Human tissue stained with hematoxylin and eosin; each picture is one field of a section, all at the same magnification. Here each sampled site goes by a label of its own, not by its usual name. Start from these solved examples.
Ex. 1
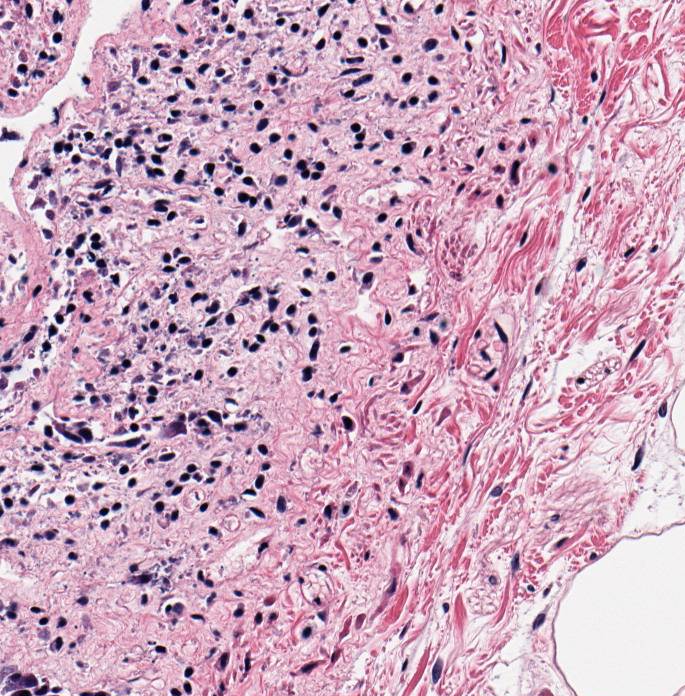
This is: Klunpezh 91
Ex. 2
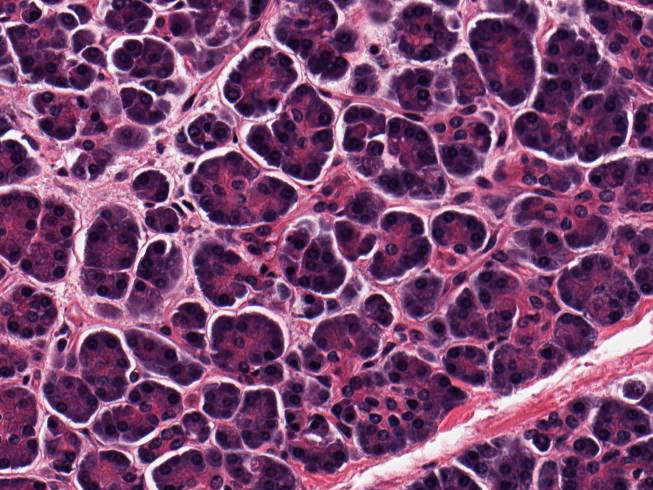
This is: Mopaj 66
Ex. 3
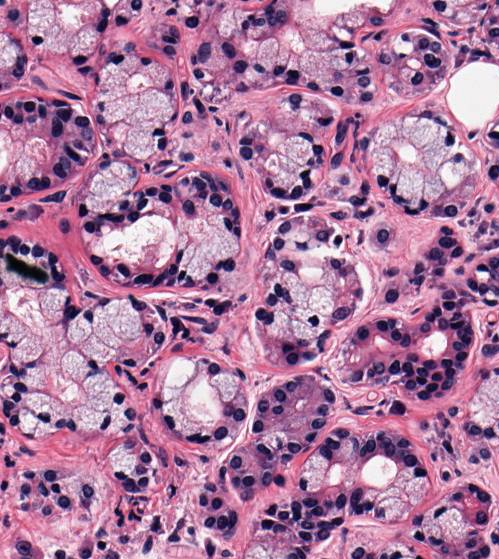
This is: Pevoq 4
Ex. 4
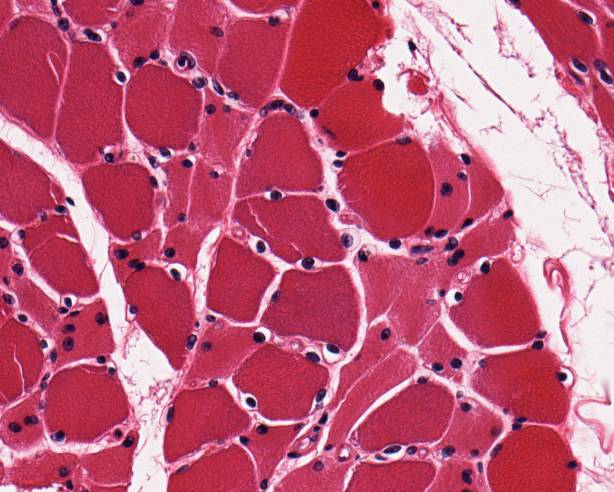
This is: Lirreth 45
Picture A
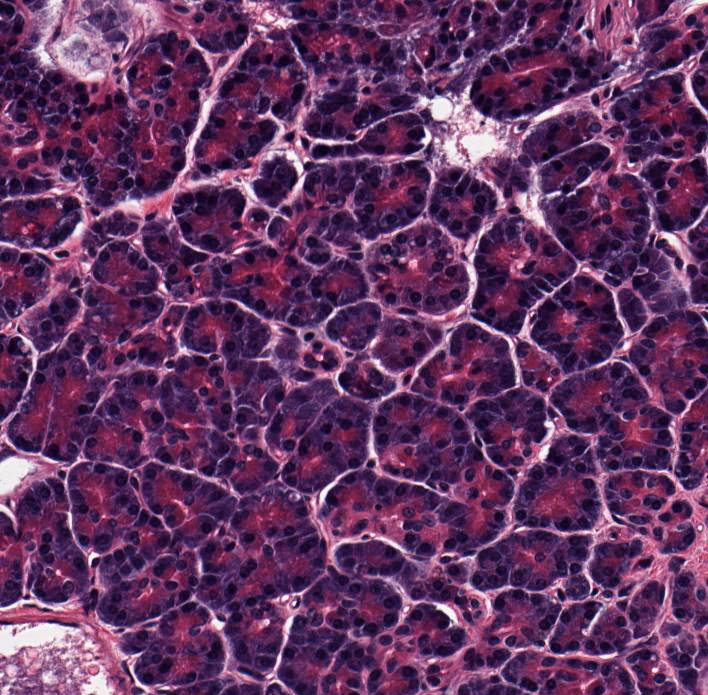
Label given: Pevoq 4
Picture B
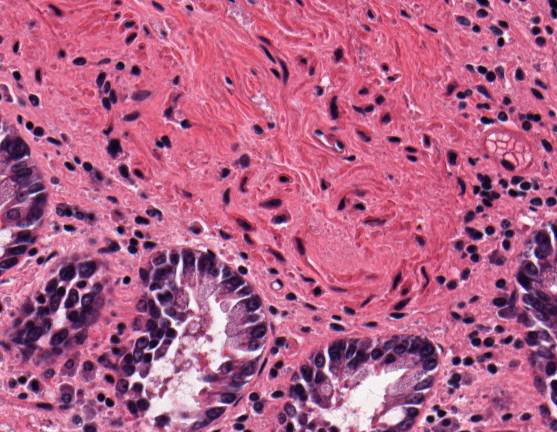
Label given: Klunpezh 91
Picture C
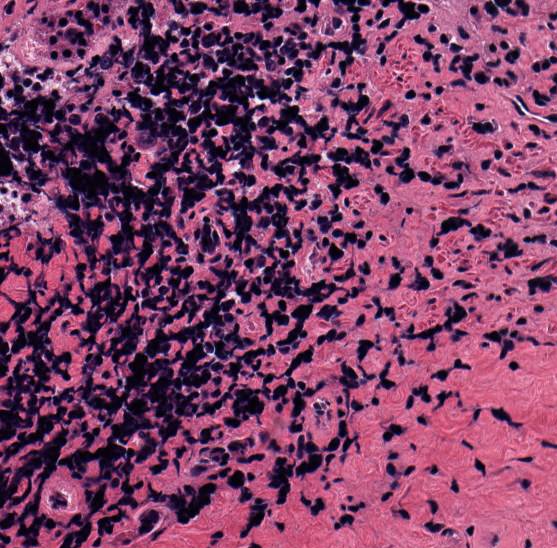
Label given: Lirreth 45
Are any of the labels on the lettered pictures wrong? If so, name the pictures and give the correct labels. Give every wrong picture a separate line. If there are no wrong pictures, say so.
A: change Pevoq 4 to Mopaj 66
C: change Lirreth 45 to Klunpezh 91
